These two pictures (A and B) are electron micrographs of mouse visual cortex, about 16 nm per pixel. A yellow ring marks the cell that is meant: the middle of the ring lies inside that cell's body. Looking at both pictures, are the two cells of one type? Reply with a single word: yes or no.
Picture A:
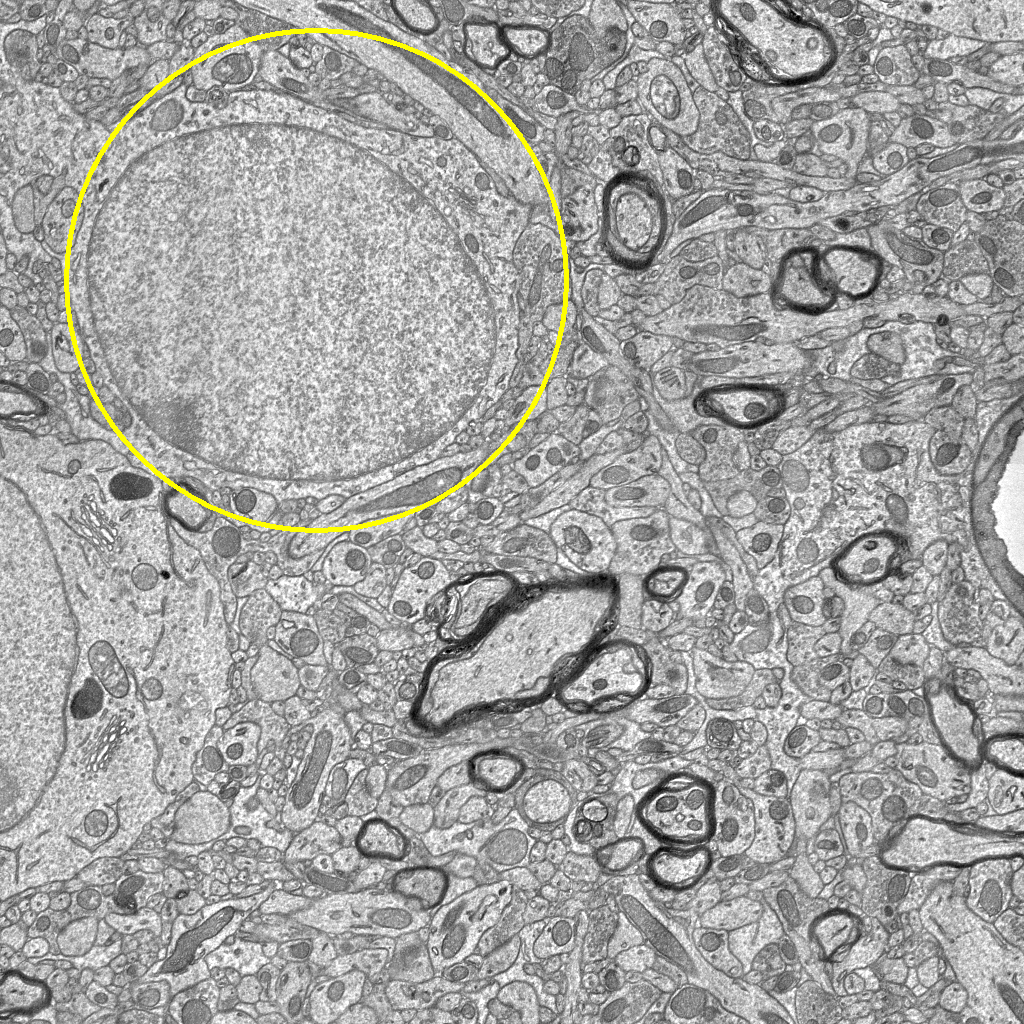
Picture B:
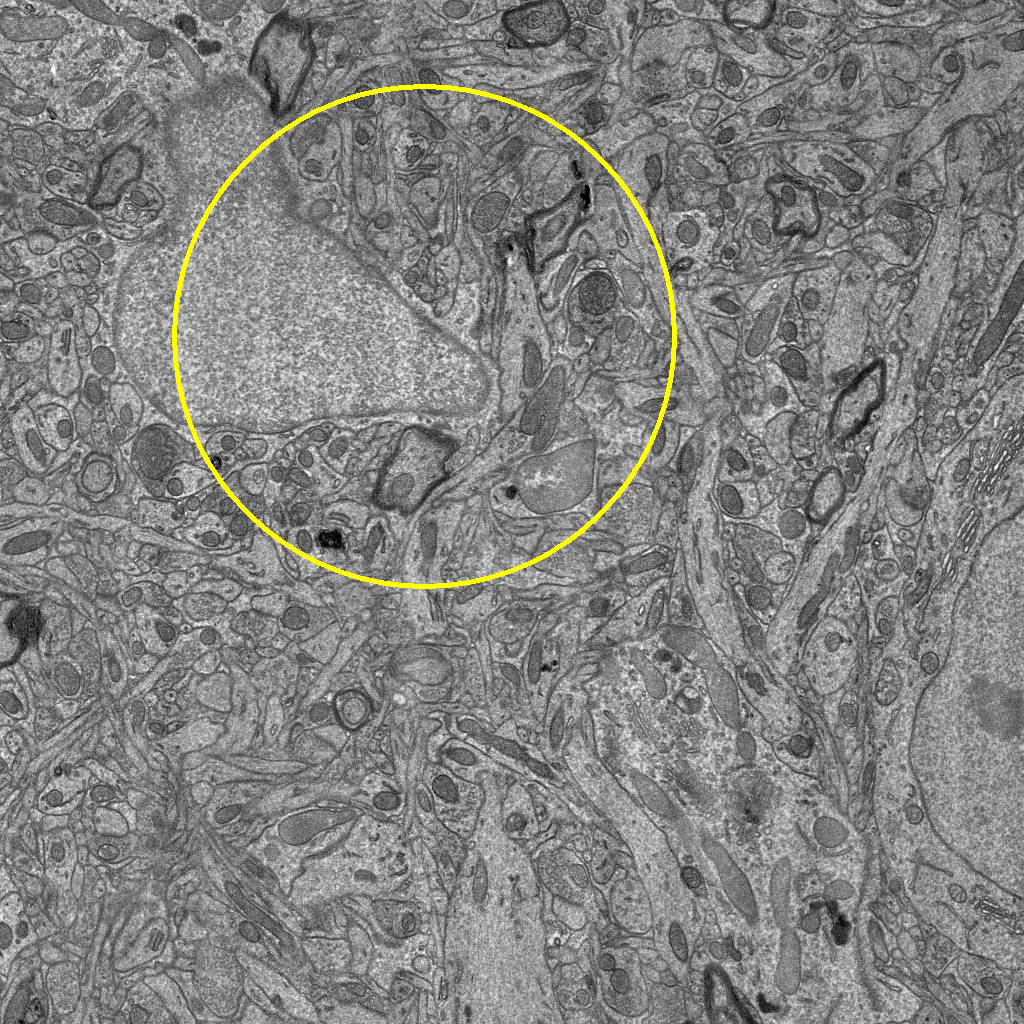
yes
